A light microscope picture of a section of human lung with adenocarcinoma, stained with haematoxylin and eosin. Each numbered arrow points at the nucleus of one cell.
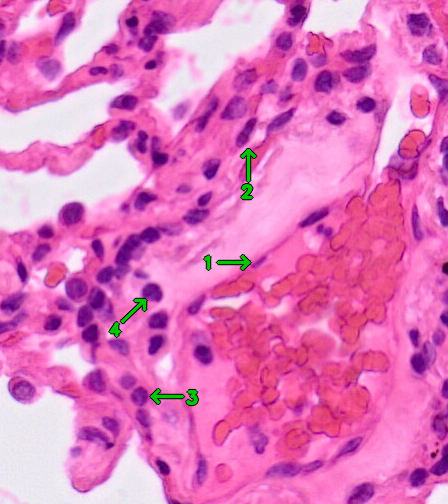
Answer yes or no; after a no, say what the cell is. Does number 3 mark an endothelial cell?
No, it is a mast cell.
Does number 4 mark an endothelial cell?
No, it is a lymphocyte.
